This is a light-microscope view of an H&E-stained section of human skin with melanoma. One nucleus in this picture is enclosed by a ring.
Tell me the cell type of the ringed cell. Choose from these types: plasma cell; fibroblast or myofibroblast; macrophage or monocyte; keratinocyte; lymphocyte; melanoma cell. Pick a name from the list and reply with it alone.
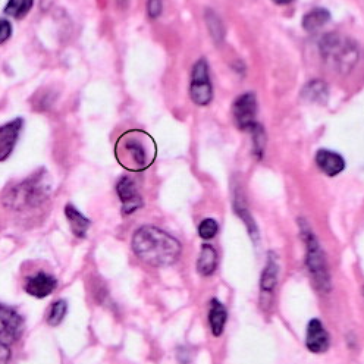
macrophage or monocyte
